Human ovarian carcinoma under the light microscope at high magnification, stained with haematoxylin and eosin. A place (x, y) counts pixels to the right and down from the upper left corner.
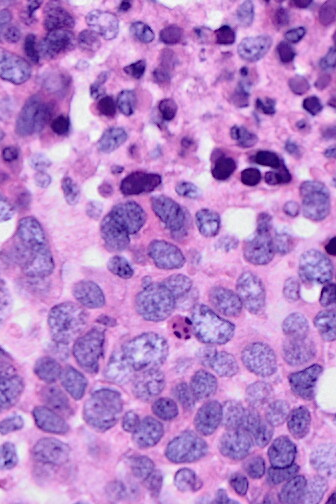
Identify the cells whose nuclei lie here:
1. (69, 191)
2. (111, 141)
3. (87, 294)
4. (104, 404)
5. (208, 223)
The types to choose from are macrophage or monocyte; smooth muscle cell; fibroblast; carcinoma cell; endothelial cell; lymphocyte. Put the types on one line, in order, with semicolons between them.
macrophage or monocyte; macrophage or monocyte; carcinoma cell; carcinoma cell; macrophage or monocyte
